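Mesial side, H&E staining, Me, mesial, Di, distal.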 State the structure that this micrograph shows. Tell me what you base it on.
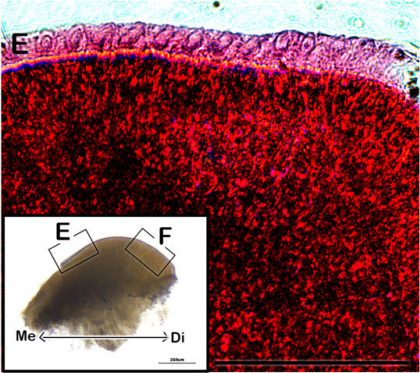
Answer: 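Teeth. A pale lilac band with small rounded bodies lines the top edge. Beneath it lies dense deep red tissue.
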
